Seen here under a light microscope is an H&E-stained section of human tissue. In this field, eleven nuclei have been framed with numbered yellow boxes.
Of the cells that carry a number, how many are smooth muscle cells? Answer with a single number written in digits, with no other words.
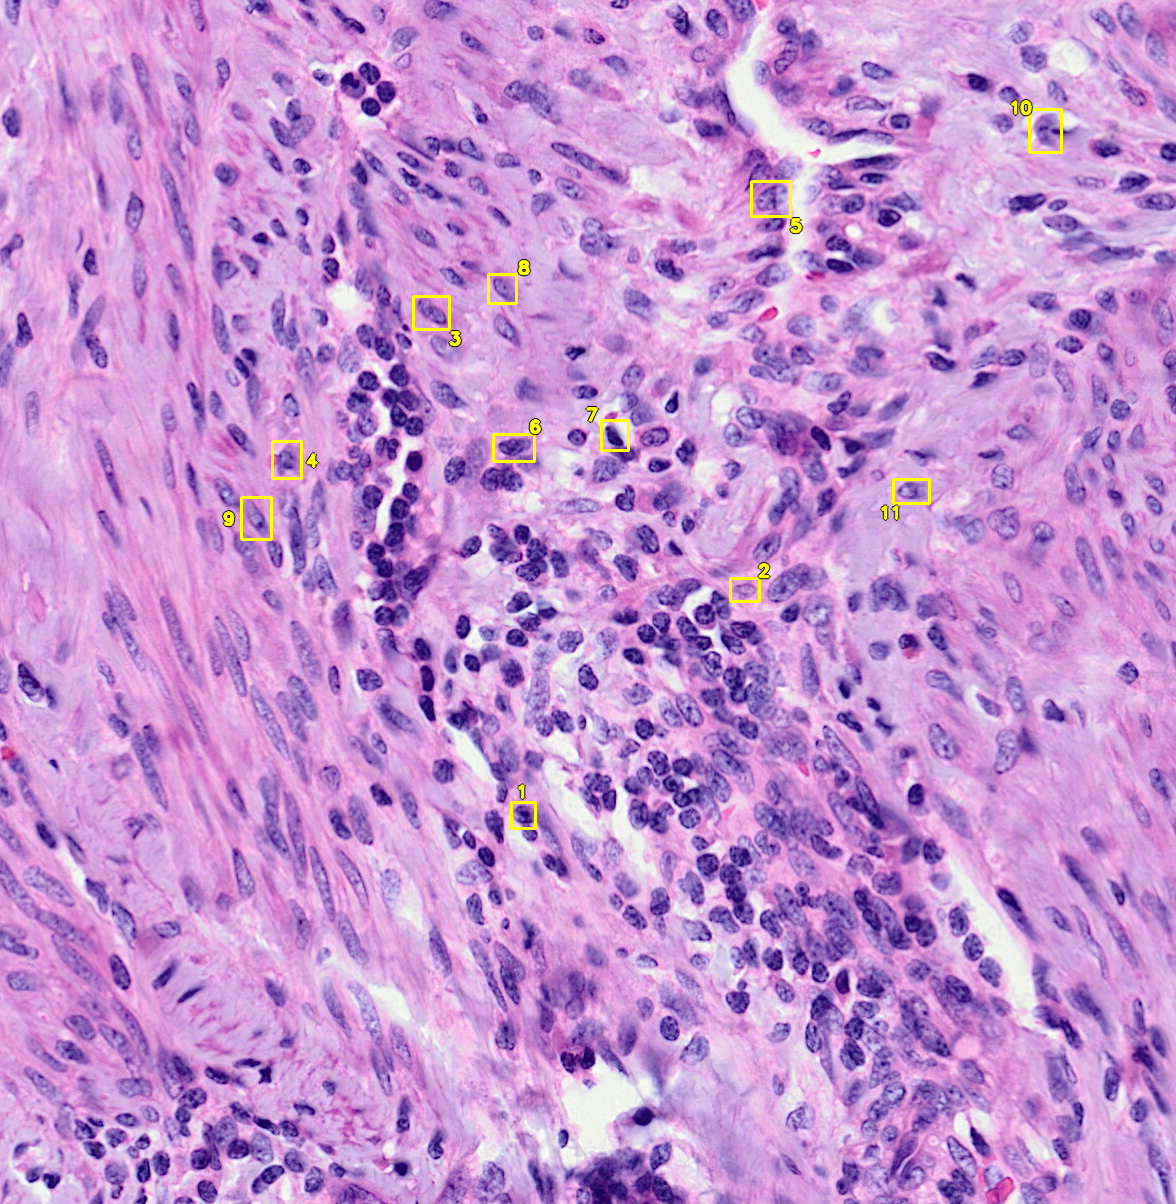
3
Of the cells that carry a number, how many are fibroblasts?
1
